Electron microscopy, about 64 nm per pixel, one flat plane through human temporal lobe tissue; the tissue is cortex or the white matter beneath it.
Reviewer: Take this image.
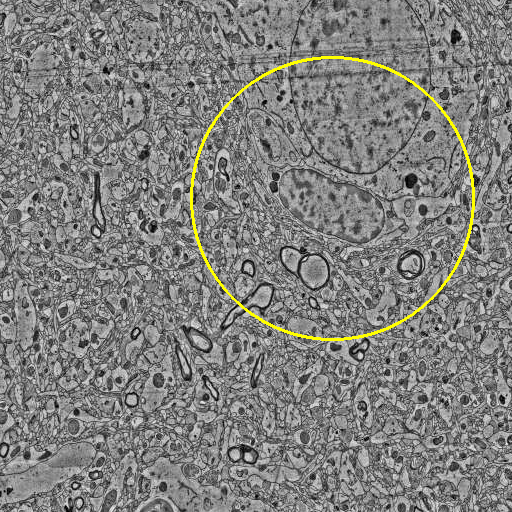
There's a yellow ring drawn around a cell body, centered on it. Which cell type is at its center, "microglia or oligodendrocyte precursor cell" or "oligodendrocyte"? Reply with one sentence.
At the center of the yellow ring is a microglial cell or oligodendrocyte precursor cell.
